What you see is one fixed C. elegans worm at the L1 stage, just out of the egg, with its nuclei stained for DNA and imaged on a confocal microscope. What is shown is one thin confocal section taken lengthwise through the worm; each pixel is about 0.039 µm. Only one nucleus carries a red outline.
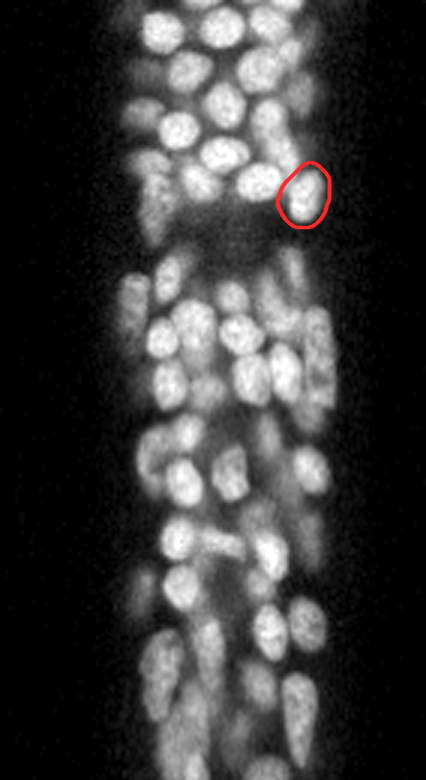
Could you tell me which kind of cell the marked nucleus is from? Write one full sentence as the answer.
The cell with the marked nucleus is a neuron.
